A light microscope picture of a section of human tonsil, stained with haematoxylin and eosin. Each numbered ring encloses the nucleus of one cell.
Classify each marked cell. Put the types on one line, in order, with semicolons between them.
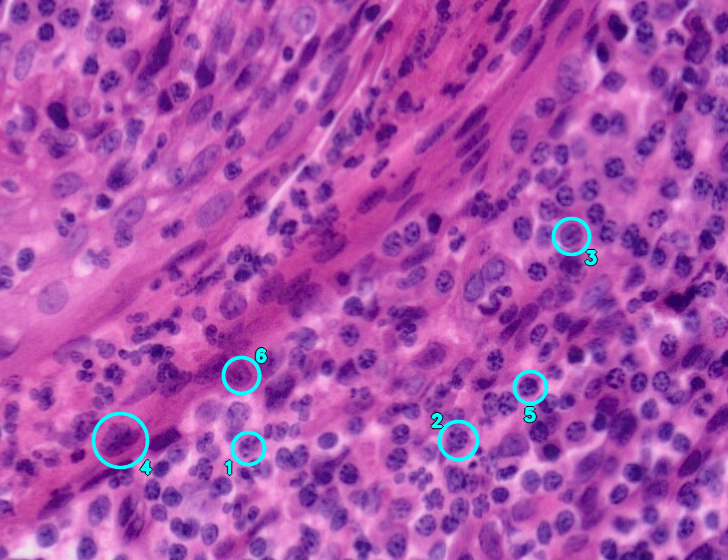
plasma cell; plasma cell; plasma cell; squamous epithelial cell; plasma cell; squamous epithelial cell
